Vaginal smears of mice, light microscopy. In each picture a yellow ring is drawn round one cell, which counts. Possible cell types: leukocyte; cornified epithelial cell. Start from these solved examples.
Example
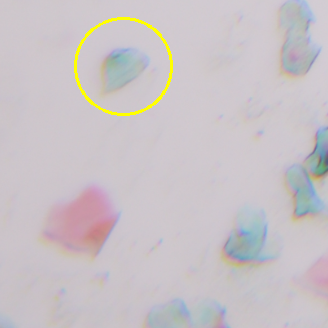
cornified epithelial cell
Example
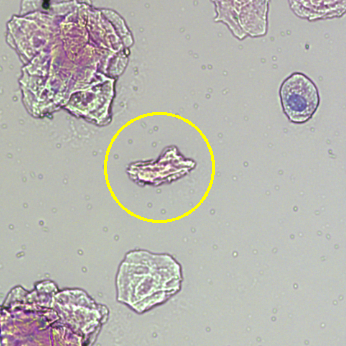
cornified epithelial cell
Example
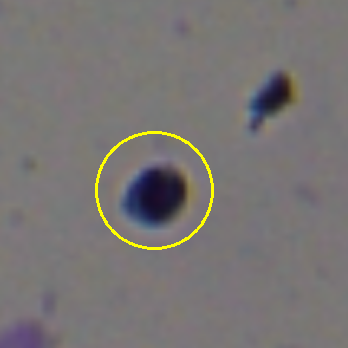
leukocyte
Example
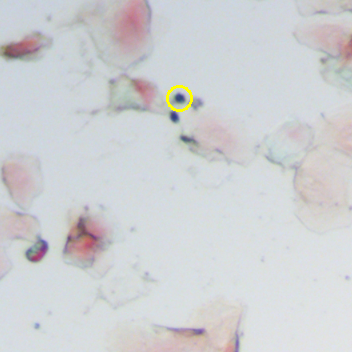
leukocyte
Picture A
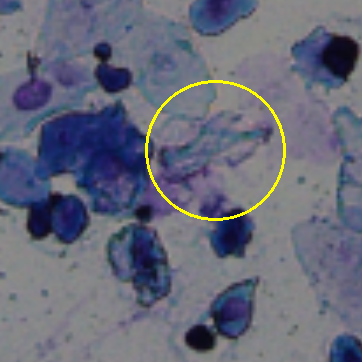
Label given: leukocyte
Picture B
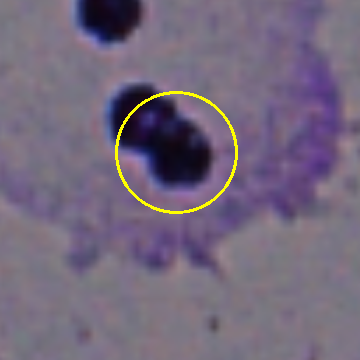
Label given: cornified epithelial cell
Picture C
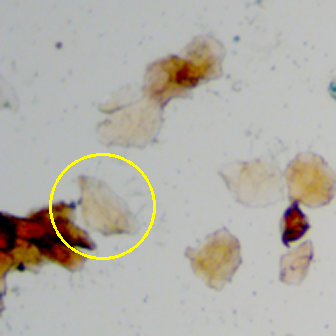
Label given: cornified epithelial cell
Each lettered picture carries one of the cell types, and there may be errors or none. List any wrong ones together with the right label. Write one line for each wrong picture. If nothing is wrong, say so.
A: cornified epithelial cell, not leukocyte
B: leukocyte, not cornified epithelial cell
